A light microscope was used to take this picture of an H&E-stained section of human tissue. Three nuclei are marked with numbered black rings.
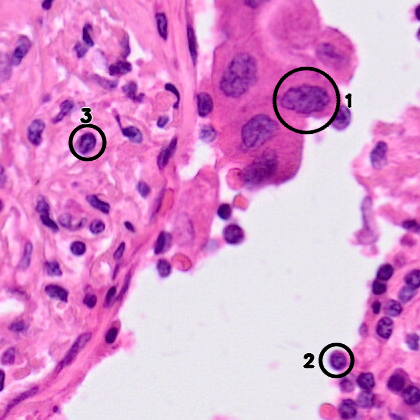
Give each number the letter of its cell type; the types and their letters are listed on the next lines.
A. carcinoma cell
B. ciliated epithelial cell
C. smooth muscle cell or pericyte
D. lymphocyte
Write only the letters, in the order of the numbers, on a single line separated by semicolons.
A; D; D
